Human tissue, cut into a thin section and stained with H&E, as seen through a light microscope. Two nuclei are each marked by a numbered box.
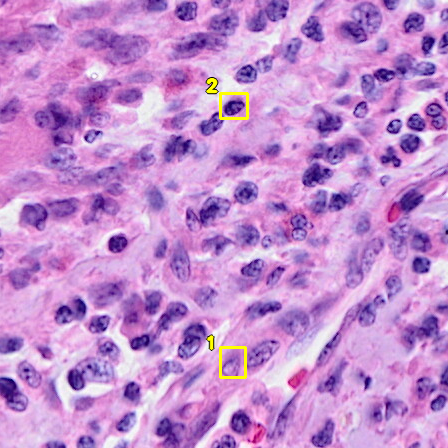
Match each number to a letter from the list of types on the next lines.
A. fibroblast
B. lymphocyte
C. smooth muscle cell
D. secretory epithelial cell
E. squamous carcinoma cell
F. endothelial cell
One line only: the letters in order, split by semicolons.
F; B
